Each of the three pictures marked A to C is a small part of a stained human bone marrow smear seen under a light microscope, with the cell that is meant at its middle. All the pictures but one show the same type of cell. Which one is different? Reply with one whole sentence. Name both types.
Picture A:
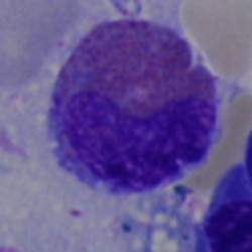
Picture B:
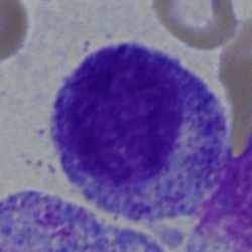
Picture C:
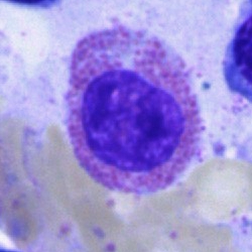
The others show eosinophils, but picture B shows a myelocyte.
